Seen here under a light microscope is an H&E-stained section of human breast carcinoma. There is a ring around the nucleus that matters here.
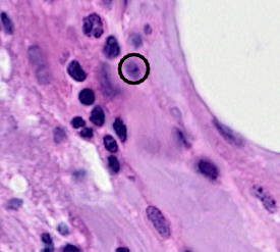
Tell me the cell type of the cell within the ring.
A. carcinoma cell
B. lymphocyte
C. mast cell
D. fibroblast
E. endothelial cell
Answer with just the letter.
C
